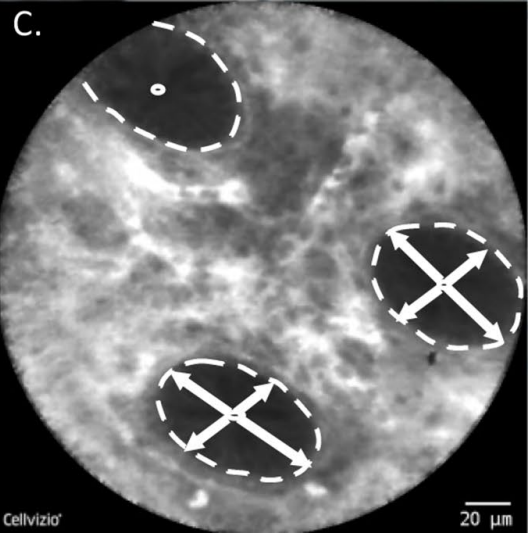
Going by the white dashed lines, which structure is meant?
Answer: colonic crypts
